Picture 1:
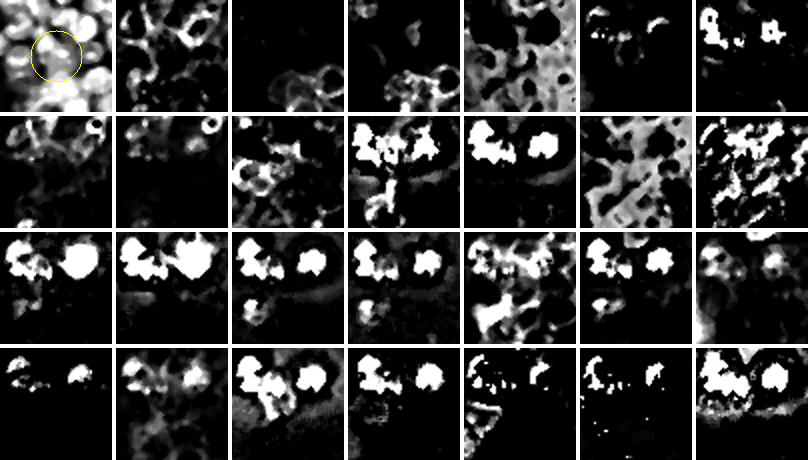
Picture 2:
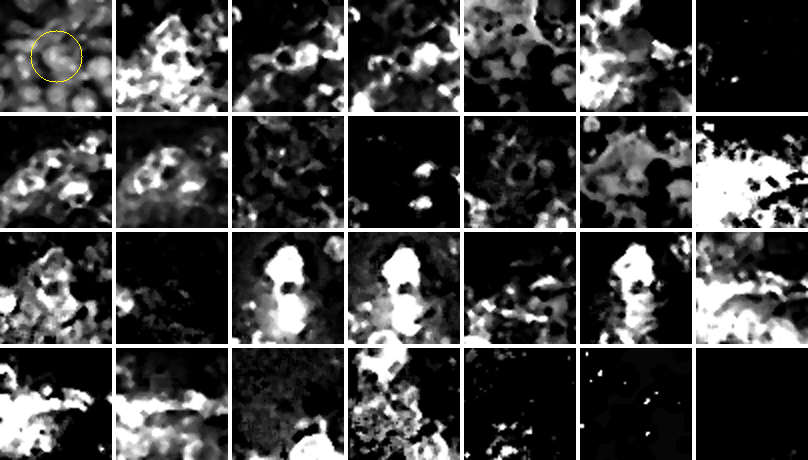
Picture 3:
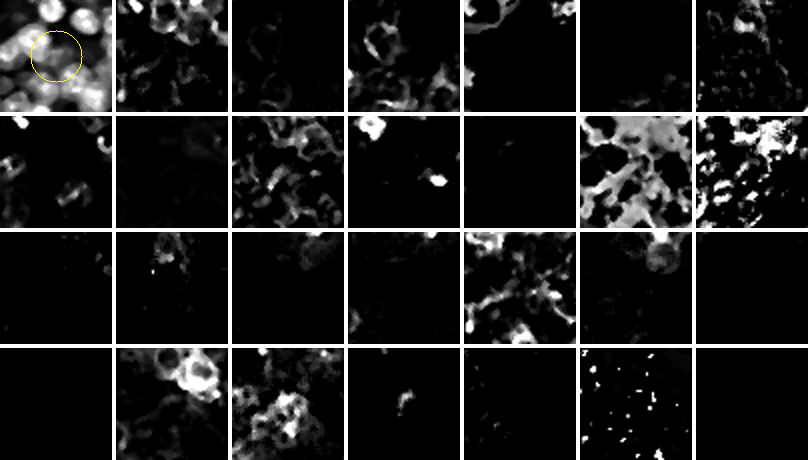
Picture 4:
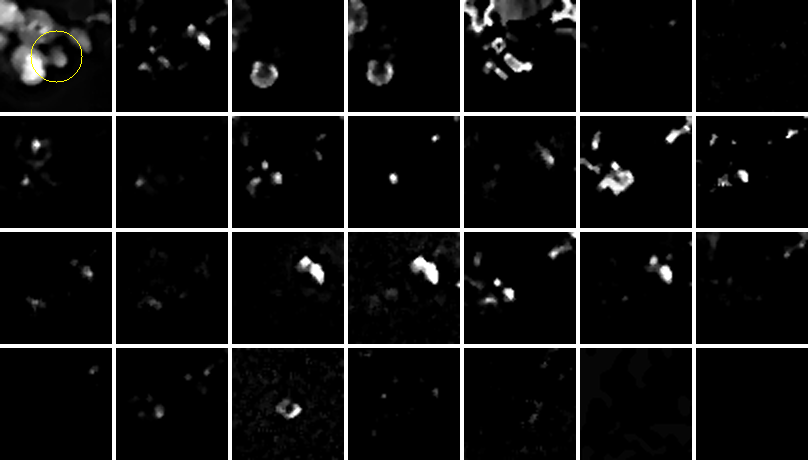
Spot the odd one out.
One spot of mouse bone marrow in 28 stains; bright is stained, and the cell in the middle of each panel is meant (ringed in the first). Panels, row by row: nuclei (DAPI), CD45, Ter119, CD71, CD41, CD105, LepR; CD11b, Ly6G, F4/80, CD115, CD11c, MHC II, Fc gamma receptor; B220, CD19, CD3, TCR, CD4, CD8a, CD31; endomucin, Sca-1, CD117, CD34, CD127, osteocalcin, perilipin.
Picture 2 (a CD8 T cell among granulocyte-monocyte progenitors).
